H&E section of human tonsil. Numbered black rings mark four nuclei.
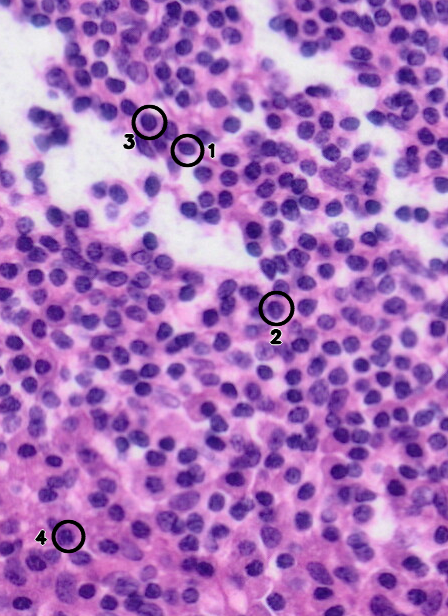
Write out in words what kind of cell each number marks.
Cells 1, 2 and 3 are small lymphocytes. Cell 4 is a plasma cell.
